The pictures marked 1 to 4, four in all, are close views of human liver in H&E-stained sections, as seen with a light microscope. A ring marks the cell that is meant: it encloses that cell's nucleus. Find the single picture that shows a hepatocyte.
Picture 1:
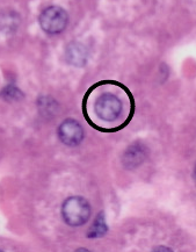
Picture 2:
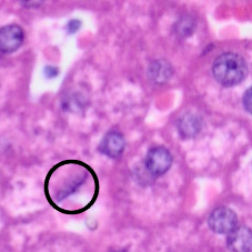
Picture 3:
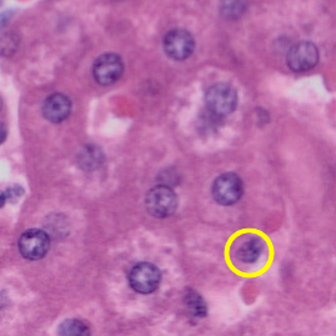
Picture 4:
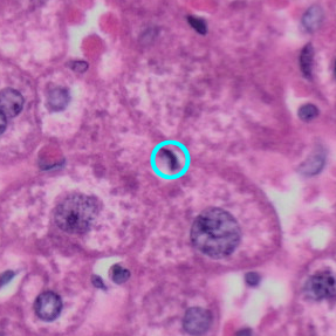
1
